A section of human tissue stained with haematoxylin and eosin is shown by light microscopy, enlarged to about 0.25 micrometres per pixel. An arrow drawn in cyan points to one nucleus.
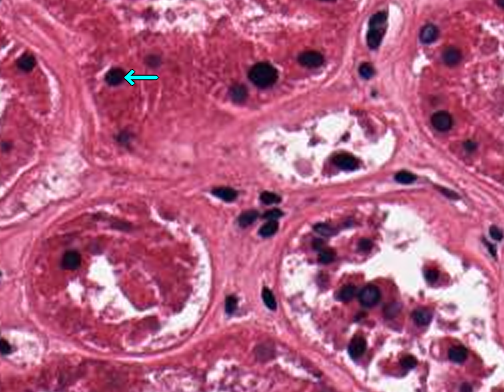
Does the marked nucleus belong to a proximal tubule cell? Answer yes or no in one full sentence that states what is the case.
Yes, belonging to a proximal tubule cell is the marked nucleus.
